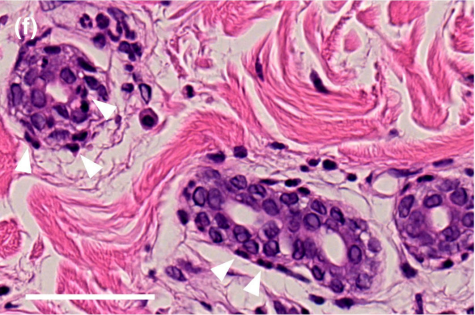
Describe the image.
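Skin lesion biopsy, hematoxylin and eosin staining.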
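This is the dermis with several eccrine gland tubules cut across, lying among thick pink collagen bundles. Each tubule is a ring of cuboidal epithelial cells with round purple nuclei around a small central lumen.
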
